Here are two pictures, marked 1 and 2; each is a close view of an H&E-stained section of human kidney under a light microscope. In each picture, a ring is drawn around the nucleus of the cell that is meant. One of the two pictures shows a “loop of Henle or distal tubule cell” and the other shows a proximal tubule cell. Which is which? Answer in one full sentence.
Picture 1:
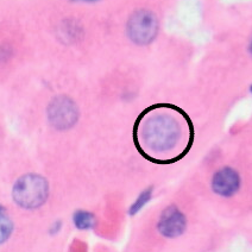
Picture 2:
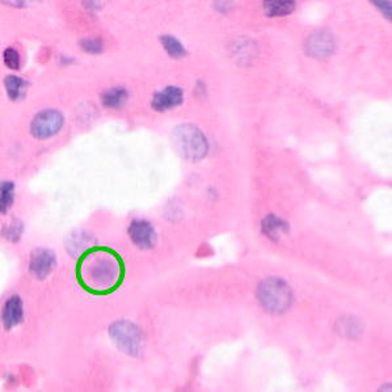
It is picture 1 that shows a proximal tubule cell, and picture 2 that shows a “loop of Henle or distal tubule cell”.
